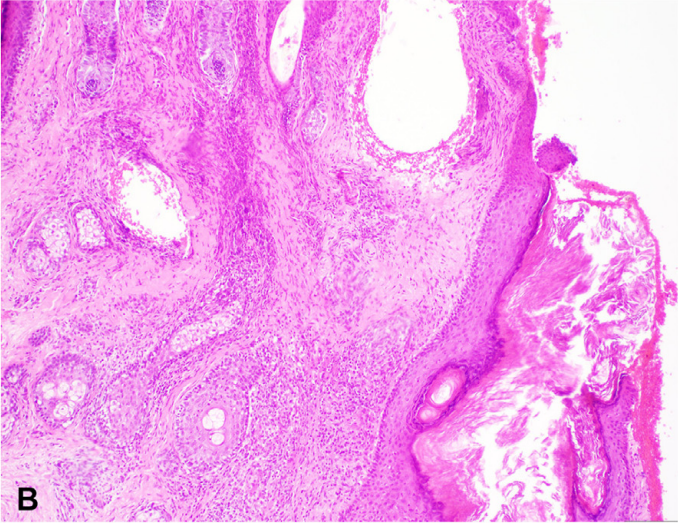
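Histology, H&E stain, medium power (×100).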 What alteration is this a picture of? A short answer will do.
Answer: Perifollicular inflammation.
